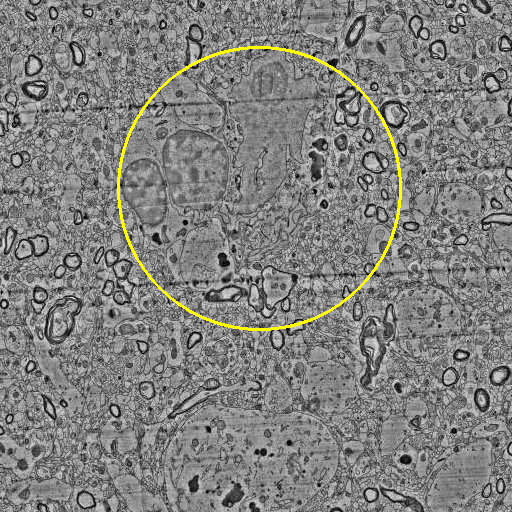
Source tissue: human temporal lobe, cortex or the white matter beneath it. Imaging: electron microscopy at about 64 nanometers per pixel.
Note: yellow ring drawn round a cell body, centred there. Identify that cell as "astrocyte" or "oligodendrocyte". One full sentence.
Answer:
The cell in the middle of the ring is an oligodendrocyte.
